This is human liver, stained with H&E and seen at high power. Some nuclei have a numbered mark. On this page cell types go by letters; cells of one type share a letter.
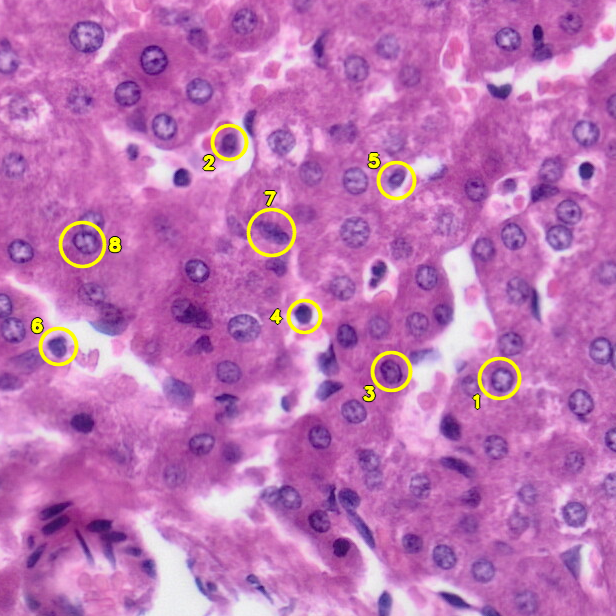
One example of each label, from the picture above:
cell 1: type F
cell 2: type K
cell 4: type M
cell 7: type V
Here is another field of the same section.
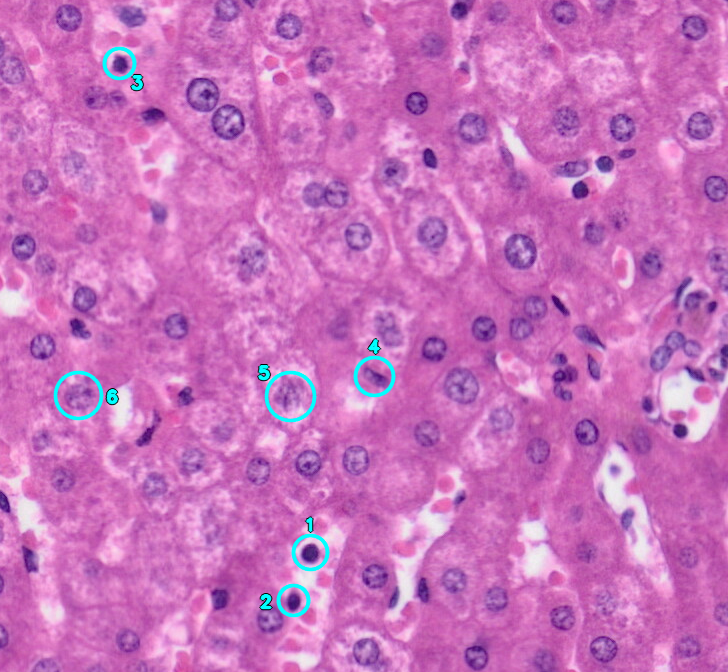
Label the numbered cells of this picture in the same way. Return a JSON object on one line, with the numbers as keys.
{"1": "type M", "2": "type M", "3": "type M", "4": "type V", "5": "type F", "6": "type F"}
